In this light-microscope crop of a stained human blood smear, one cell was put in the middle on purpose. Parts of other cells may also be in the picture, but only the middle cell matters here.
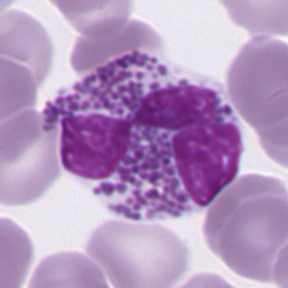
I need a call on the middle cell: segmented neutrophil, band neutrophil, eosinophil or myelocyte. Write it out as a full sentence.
Here the cell in the middle is an eosinophil.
